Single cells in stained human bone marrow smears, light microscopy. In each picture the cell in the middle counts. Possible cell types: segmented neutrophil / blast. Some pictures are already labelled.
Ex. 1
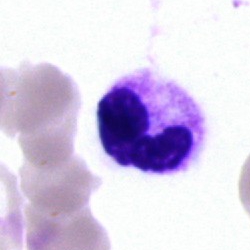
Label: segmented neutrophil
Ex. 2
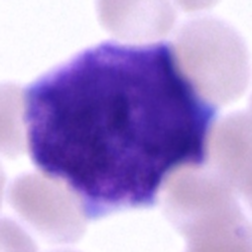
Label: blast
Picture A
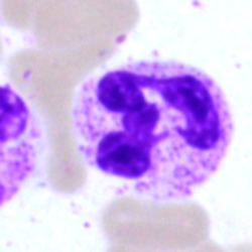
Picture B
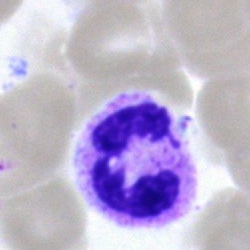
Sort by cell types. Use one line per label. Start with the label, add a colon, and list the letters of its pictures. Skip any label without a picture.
segmented neutrophil: A, B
